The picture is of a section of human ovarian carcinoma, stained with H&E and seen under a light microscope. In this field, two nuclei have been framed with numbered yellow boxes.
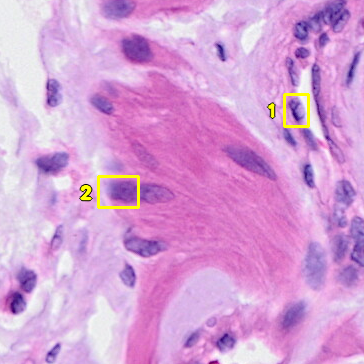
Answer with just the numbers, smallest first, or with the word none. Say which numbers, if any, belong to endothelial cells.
1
